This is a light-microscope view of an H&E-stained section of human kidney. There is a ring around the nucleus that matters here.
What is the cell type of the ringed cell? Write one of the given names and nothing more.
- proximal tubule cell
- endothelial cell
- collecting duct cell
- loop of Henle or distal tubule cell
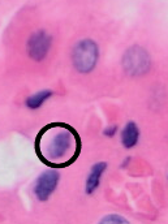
loop of Henle or distal tubule cell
